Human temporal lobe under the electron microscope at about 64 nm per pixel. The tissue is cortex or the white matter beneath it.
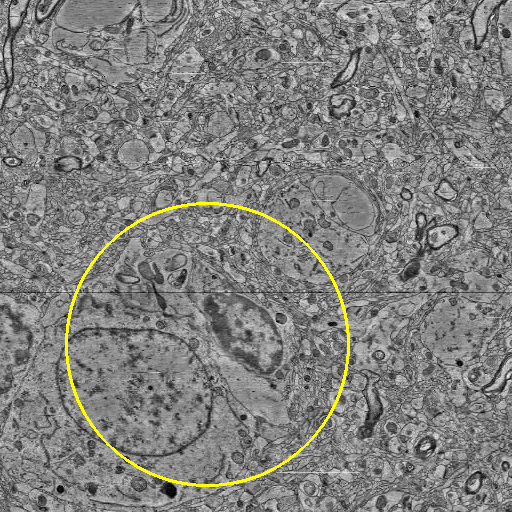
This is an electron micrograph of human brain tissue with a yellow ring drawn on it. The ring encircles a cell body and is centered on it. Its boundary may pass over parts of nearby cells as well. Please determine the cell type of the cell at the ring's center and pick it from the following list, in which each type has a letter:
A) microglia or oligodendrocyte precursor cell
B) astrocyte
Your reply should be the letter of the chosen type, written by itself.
A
